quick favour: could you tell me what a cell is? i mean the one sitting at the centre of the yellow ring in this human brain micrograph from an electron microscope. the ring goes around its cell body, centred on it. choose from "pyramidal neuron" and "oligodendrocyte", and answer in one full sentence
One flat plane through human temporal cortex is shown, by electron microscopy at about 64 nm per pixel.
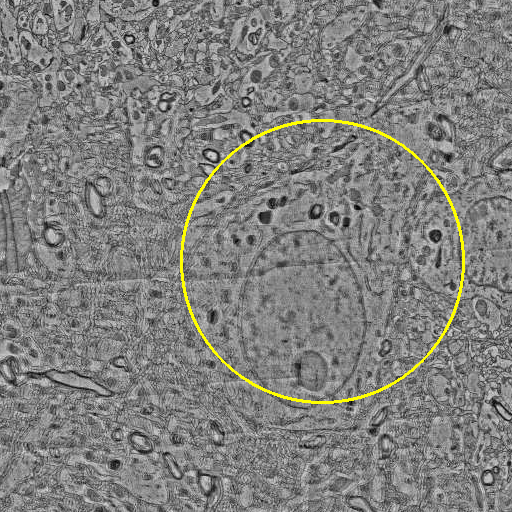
That's a pyramidal neuron, the cell sitting at the centre of the yellow ring.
